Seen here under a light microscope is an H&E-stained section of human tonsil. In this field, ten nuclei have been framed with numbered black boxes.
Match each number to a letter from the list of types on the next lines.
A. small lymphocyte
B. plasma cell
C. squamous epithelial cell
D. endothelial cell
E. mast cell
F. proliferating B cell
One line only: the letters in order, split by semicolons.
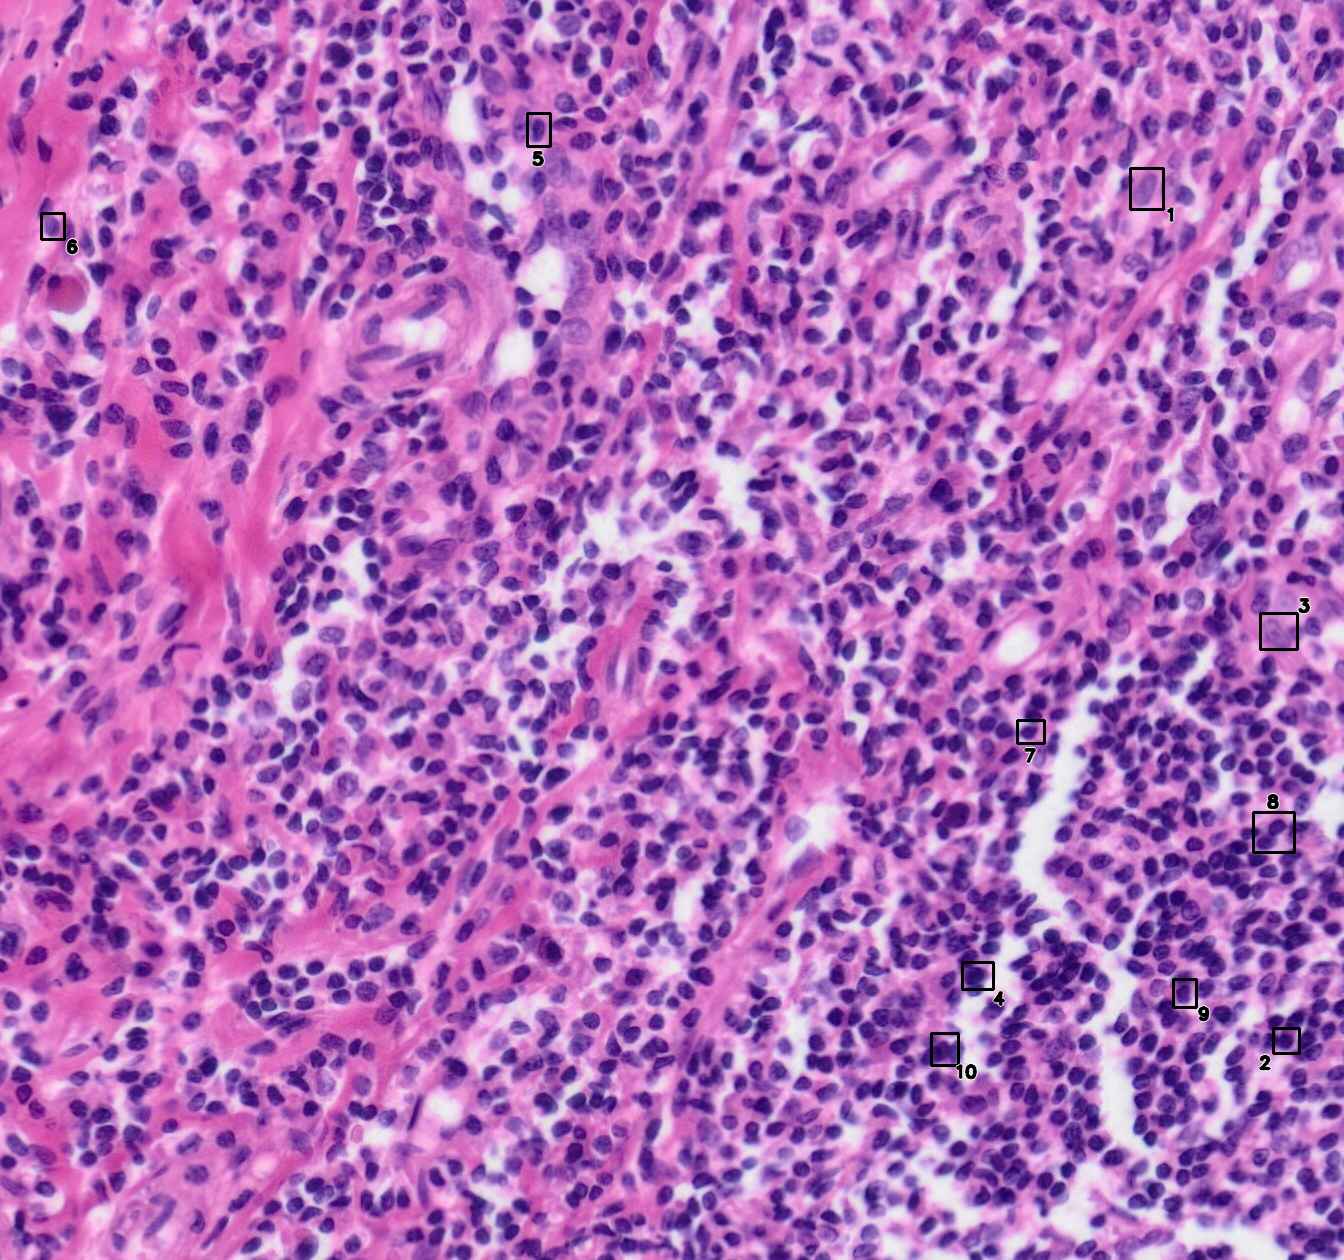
D; A; D; A; D; E; A; A; A; A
